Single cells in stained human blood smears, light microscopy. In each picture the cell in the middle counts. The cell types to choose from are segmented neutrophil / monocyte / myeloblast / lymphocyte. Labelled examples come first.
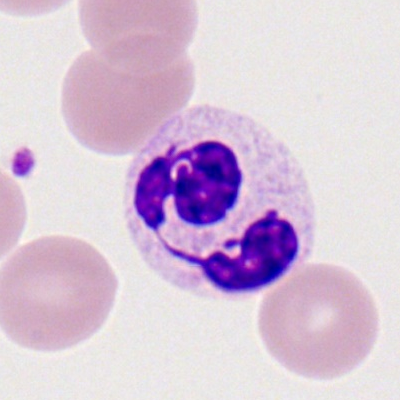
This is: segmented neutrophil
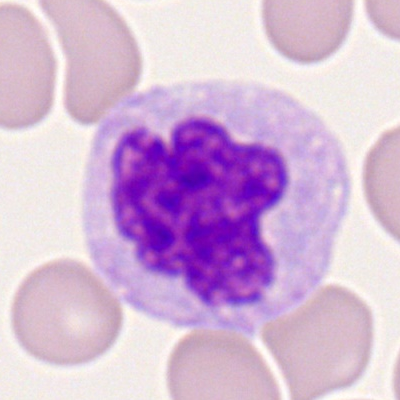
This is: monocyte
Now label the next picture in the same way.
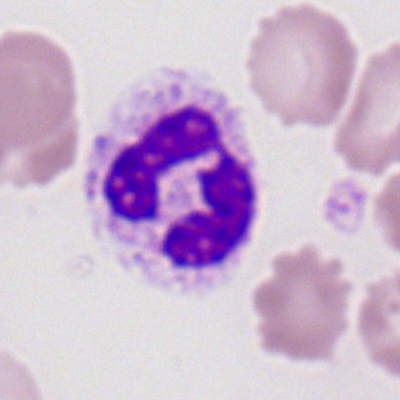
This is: segmented neutrophil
